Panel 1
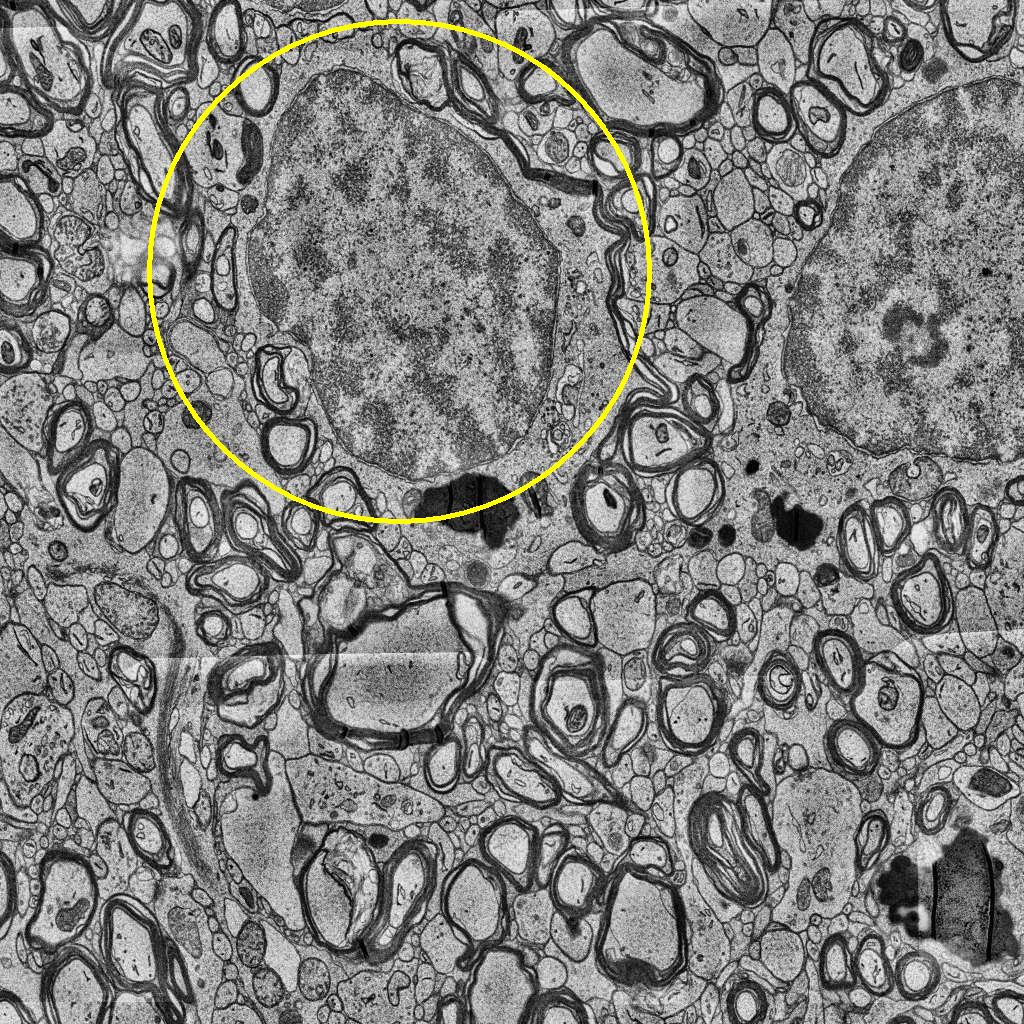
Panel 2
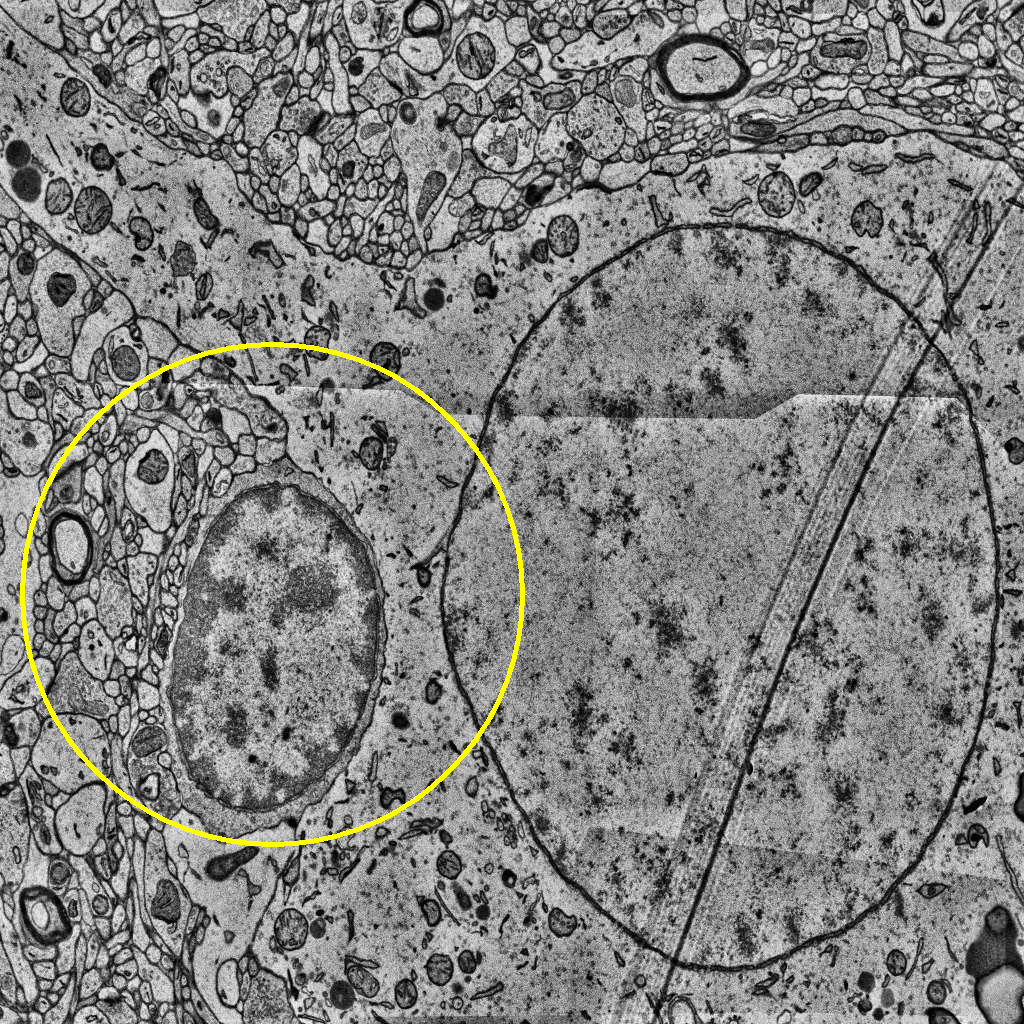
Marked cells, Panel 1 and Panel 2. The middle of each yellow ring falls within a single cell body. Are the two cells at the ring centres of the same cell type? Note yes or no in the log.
yes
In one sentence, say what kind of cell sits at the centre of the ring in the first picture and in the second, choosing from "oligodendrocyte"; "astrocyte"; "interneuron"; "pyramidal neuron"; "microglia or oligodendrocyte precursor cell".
Each of the two cells is an oligodendrocyte.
